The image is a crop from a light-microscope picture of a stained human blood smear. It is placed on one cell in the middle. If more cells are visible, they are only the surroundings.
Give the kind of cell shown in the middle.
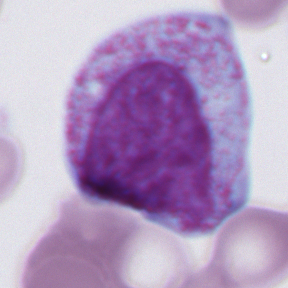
myelocyte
